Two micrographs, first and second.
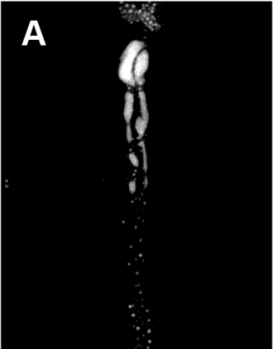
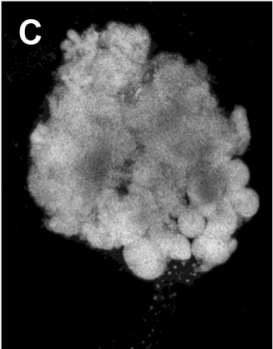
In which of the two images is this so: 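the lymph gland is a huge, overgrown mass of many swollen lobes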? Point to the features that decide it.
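Second image: a large, bulky mass of many rounded lobes fills most of the field. First image: a small pair of anterior lobes followed by a narrow chain of small posterior lobes along a thin midline. The answer: the second image.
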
